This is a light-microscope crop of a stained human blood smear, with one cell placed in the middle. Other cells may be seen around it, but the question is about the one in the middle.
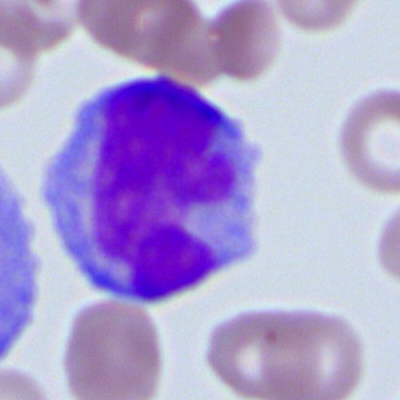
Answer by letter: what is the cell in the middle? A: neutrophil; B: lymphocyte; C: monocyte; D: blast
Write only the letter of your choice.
C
